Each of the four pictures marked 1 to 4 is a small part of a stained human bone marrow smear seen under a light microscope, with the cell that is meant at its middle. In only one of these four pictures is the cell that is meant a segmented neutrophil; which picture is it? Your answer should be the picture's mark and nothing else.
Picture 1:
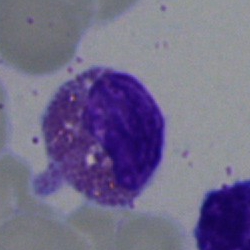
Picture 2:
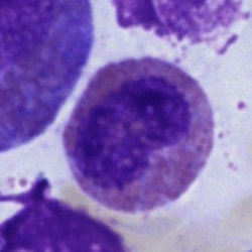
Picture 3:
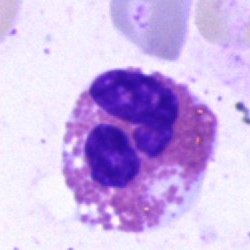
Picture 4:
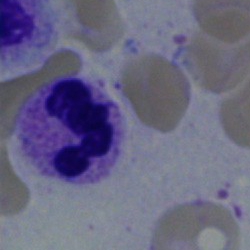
4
